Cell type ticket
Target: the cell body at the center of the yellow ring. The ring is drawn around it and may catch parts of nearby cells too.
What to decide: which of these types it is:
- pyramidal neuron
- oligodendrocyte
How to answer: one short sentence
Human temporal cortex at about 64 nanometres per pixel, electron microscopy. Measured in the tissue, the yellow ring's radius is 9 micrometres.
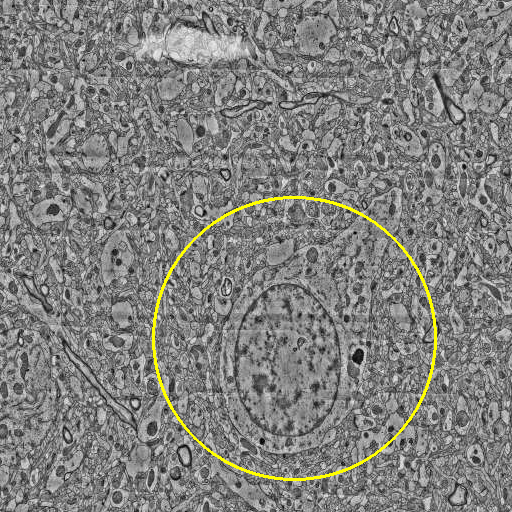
The cell at the center of the ring is a pyramidal neuron.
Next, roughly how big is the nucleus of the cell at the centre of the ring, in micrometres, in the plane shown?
Roughly 10 by 7 micrometres is the size of the nucleus in this plane.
